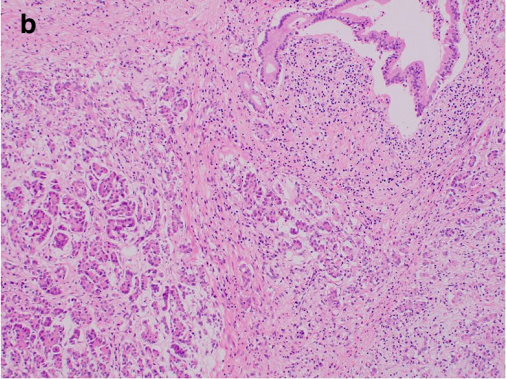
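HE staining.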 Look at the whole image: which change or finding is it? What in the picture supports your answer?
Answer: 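Small, shrunken acinar clusters separated by pink fibrous stroma. Scattered dense small dark nuclei in the stroma. On this evidence: Atrophic pancreatic tissues with fibrogenesis and inflammatory cell infiltration.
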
